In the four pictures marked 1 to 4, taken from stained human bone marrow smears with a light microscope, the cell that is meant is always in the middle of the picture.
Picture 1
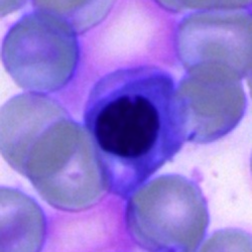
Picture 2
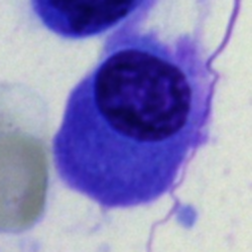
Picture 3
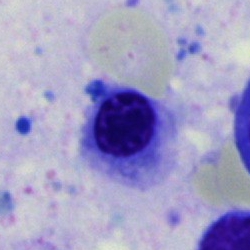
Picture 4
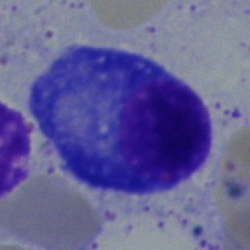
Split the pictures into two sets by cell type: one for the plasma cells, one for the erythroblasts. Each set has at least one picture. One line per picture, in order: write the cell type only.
erythroblast
plasma cell
erythroblast
plasma cell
